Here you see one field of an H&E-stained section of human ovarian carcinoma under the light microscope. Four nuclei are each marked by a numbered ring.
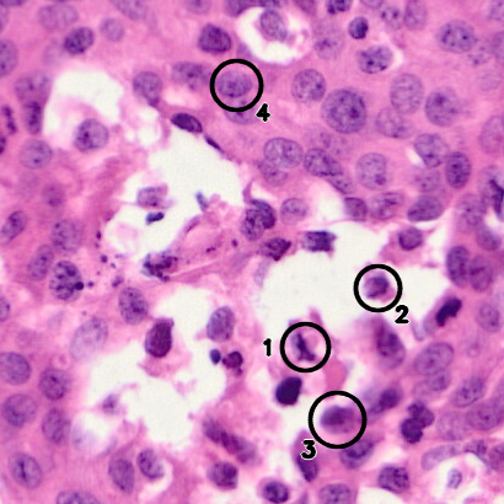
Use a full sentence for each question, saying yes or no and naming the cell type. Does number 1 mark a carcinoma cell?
No, what number 1 shows is a macrophage or monocyte, not a carcinoma cell.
